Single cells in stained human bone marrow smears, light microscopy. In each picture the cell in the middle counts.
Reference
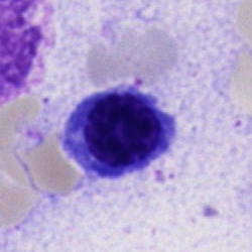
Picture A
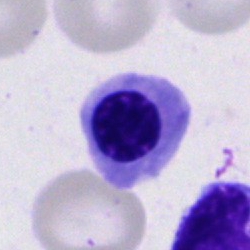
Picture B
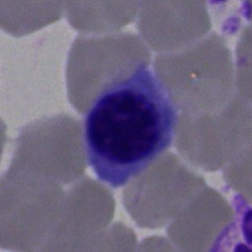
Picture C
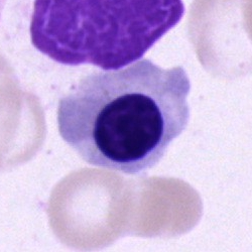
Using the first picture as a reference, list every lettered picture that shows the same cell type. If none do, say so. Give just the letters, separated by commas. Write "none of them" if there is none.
A, B, C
